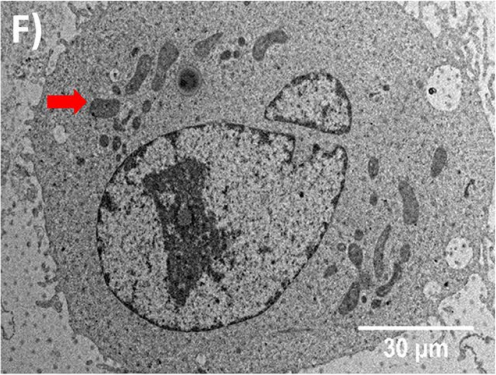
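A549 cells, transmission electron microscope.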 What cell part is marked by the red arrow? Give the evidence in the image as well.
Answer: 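Small oval and elongated dense organelles are scattered in the cytoplasm around the nucleus.
Hence: mitochondria.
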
